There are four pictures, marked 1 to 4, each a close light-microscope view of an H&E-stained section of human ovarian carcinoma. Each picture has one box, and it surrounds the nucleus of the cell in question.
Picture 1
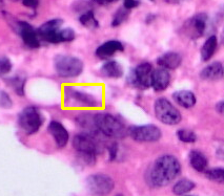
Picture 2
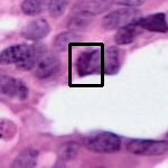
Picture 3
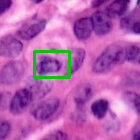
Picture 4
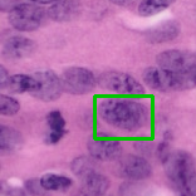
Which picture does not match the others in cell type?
3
